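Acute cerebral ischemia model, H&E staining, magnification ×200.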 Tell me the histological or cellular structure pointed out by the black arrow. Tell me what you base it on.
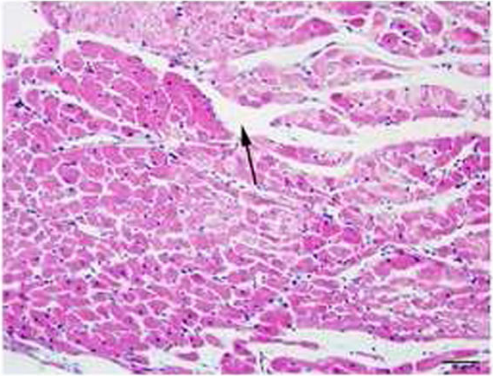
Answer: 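Gaps. The arrow points at a white, unstained space between bundles of pink muscle fibres. Pale spaces separate many of the fibres.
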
